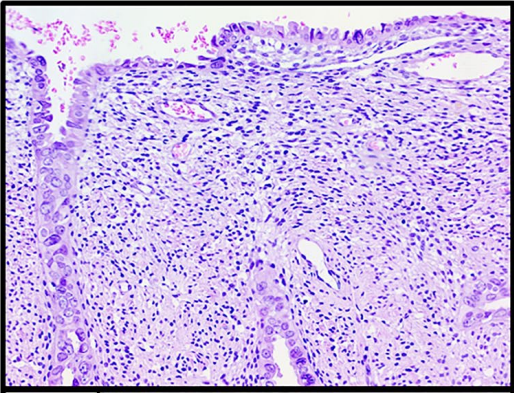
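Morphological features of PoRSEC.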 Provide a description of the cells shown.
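Endometrial tissue with glands lined by atypical epithelium set in a dense, cellular stroma. The gland-lining cells are plump, with enlarged, rounded nuclei that bulge into the lumen, giving a hobnail look rather than an even row of columnar cells. Their cytoplasm is pale to pink. The stroma between glands is packed with small spindle-shaped cells with dark, elongated nuclei, interrupted by a few thin-walled vessels. Red blood cells lie free above the surface epithelium.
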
